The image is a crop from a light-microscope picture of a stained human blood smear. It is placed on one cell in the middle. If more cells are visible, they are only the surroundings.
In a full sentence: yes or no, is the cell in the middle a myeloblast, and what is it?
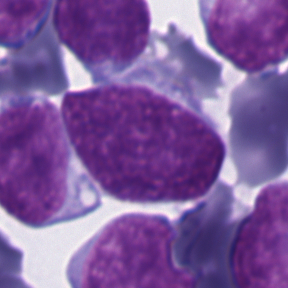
Yes, it is a myeloblast that is seen at the centre of the crop.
